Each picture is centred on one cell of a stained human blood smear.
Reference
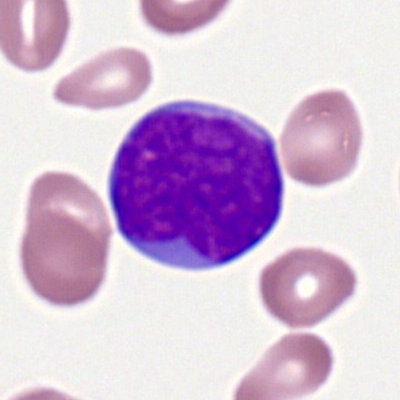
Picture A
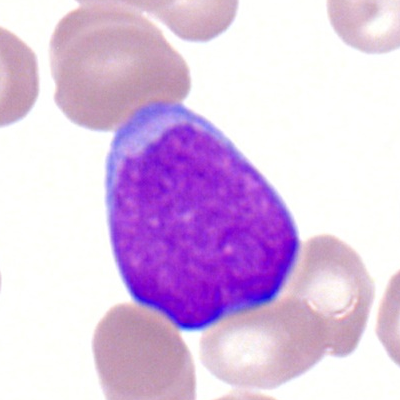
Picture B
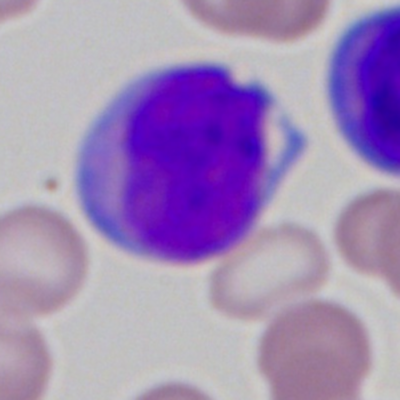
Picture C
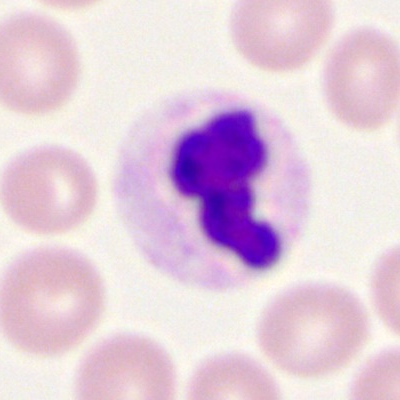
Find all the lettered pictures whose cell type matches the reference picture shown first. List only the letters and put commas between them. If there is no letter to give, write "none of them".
A, B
